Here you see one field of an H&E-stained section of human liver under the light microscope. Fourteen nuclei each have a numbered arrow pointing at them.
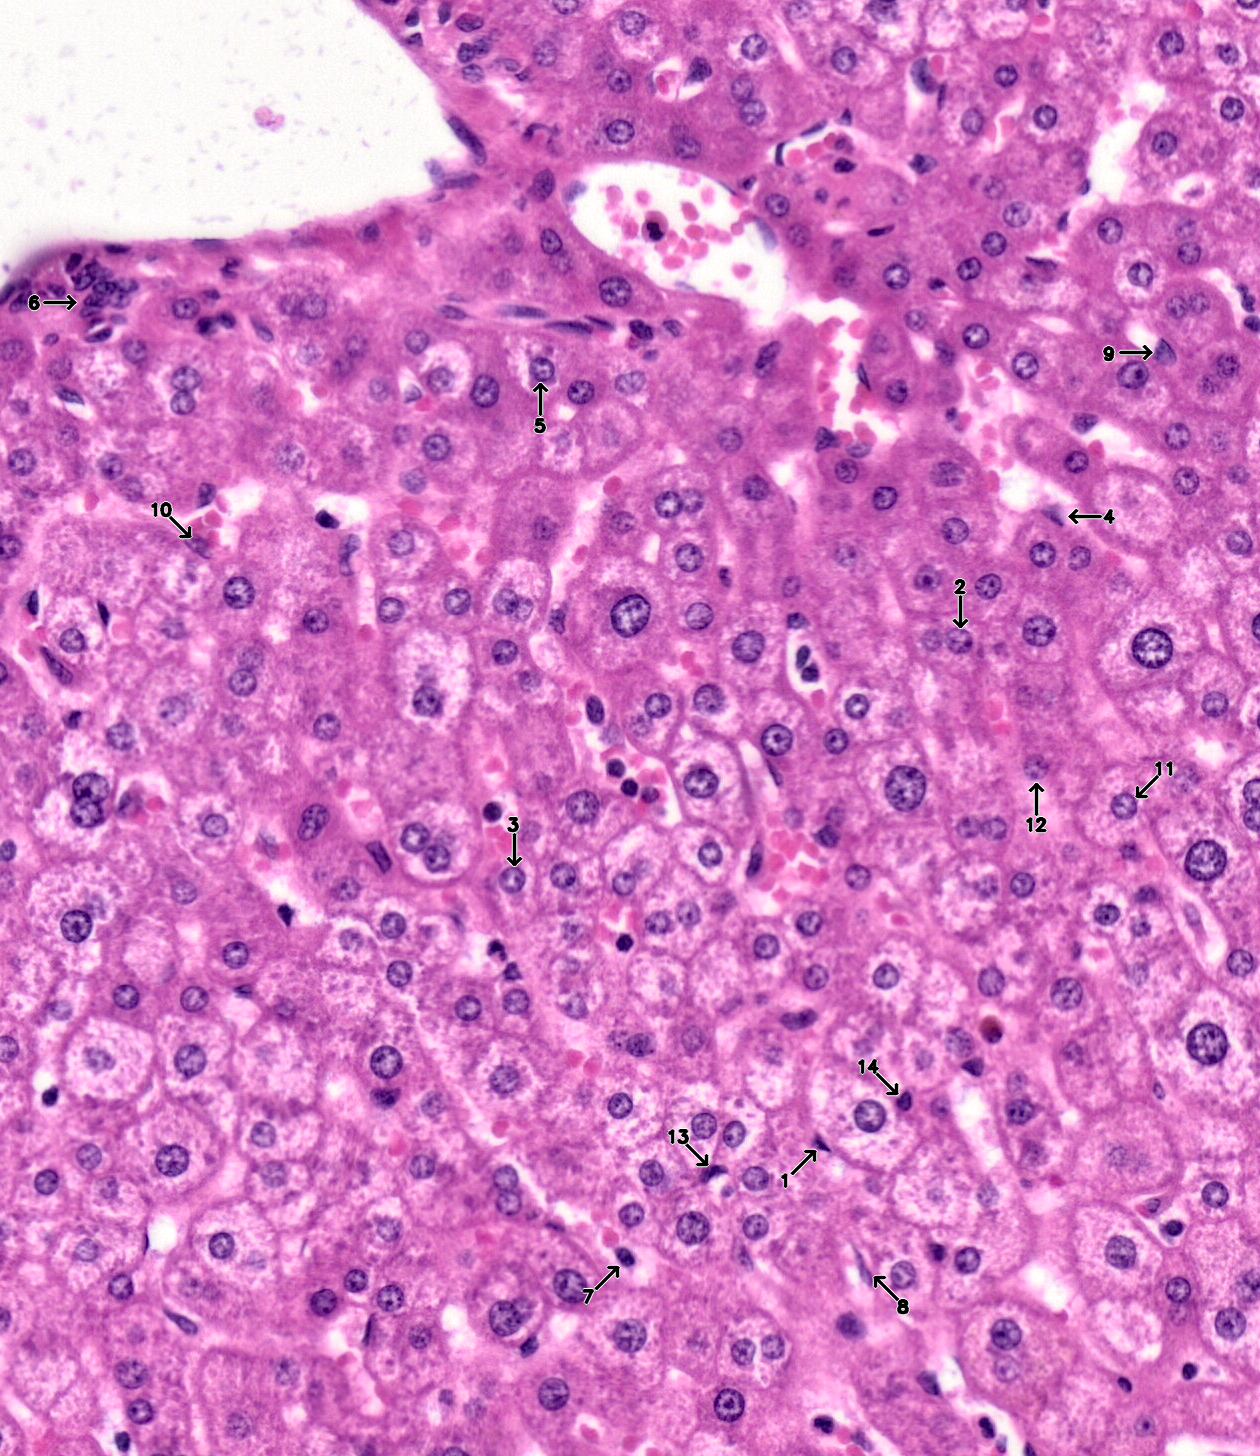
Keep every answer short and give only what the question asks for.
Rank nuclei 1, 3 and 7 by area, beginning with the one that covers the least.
1, 7, 3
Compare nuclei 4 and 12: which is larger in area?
12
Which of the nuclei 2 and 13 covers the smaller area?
13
